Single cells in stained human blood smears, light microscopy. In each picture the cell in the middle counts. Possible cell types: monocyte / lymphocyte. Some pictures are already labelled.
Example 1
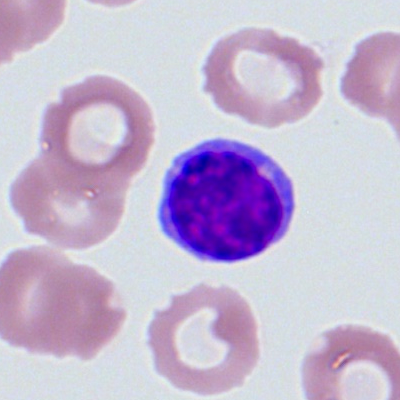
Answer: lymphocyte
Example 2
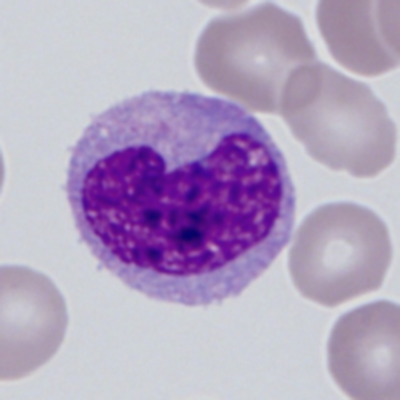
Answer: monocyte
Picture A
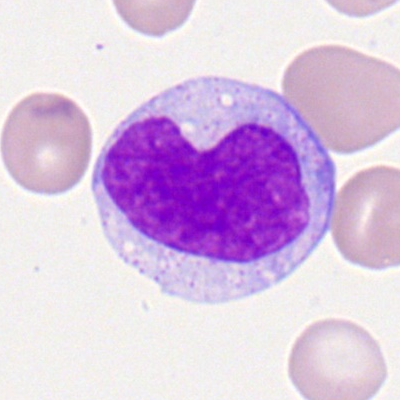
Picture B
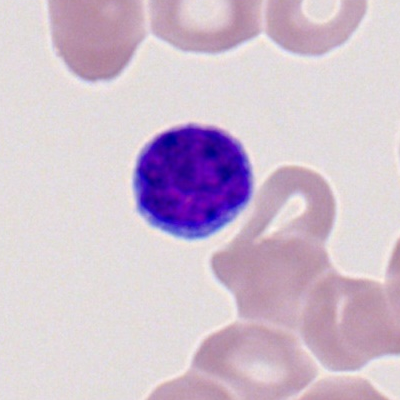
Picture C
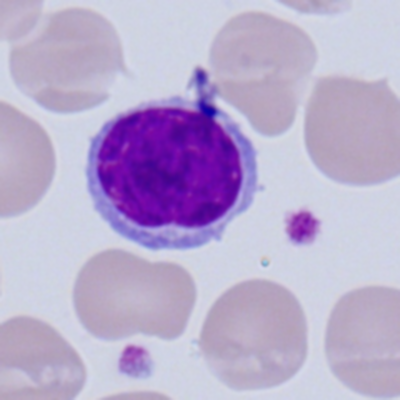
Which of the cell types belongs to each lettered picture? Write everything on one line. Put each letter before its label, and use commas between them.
A monocyte, B lymphocyte, C lymphocyte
